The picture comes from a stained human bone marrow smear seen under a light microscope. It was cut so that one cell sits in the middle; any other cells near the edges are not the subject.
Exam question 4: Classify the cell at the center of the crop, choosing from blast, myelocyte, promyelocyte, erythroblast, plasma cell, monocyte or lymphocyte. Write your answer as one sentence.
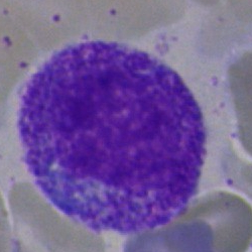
The cell at the central position in this crop is a promyelocyte.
